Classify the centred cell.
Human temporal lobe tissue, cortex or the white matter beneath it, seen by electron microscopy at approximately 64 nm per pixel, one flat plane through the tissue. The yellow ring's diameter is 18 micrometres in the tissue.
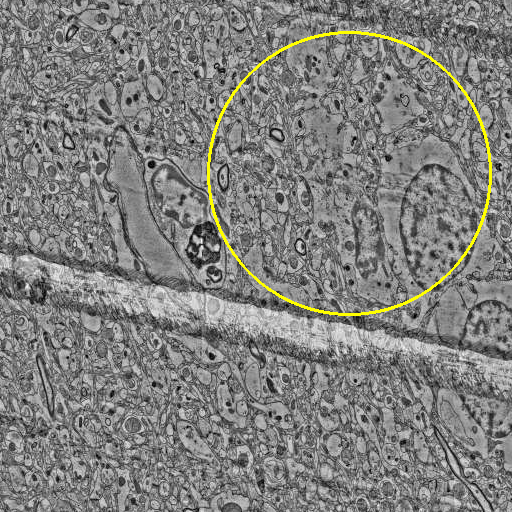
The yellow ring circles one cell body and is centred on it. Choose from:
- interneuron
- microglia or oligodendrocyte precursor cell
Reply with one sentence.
The ring is centred on a microglial cell or oligodendrocyte precursor cell.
